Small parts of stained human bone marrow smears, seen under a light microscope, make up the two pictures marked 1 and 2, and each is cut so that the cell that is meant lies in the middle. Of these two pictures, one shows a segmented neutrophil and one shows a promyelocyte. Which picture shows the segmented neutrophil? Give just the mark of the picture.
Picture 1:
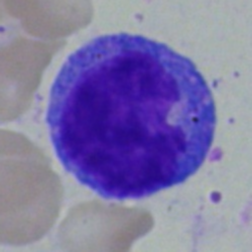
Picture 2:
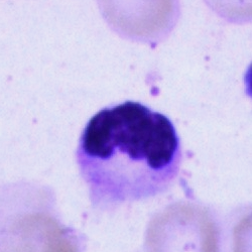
2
